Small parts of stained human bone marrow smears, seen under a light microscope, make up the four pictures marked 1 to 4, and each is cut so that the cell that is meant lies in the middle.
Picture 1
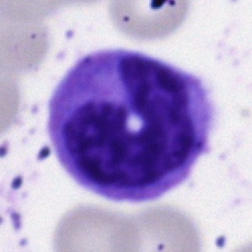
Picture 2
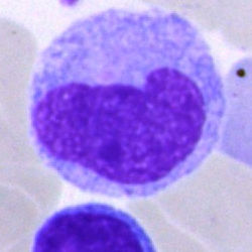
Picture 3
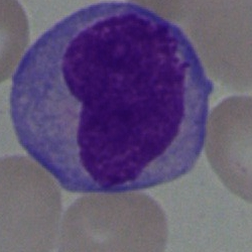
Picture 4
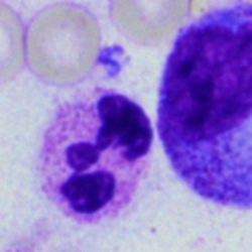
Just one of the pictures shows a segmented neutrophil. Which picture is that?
4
